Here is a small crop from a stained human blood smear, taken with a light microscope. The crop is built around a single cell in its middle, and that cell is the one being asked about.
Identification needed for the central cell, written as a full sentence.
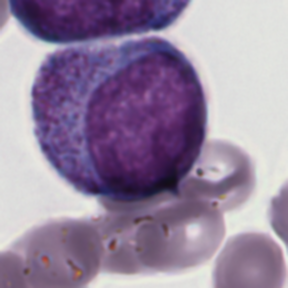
Seen at the centre of the crop is a promyelocyte.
